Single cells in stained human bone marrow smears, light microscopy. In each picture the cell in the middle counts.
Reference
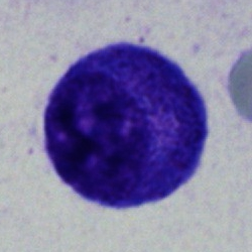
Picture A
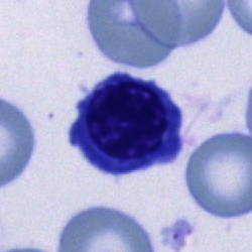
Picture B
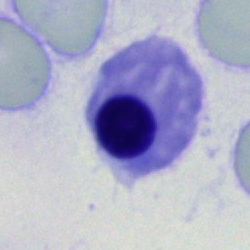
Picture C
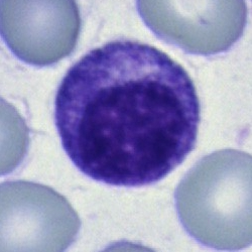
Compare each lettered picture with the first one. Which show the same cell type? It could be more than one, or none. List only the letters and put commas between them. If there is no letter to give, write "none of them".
C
